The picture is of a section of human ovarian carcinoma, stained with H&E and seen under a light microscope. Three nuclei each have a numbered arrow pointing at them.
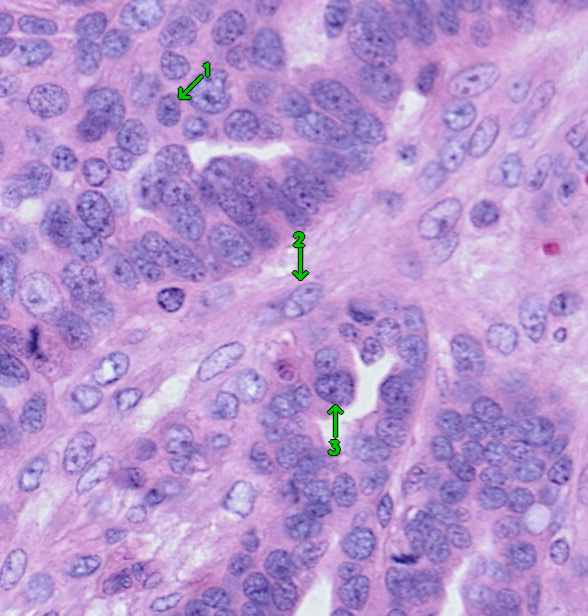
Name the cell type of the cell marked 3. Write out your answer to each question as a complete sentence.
The nucleus labelled 3 belongs to a carcinoma cell.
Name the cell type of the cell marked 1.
The marked cell bearing number 1 is a carcinoma cell.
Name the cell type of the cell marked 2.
Number 2 among the marked cells is a fibroblast.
